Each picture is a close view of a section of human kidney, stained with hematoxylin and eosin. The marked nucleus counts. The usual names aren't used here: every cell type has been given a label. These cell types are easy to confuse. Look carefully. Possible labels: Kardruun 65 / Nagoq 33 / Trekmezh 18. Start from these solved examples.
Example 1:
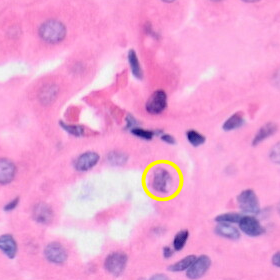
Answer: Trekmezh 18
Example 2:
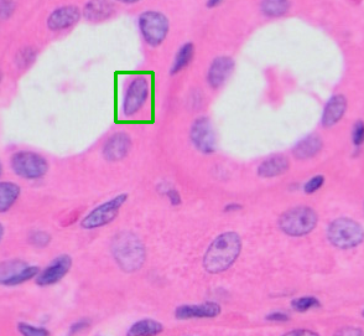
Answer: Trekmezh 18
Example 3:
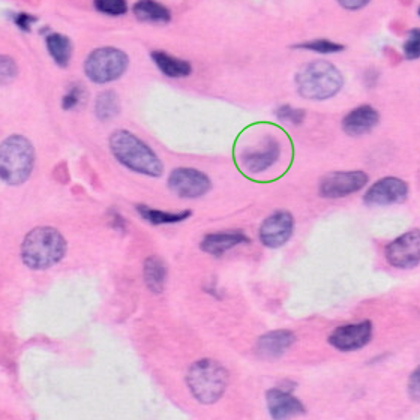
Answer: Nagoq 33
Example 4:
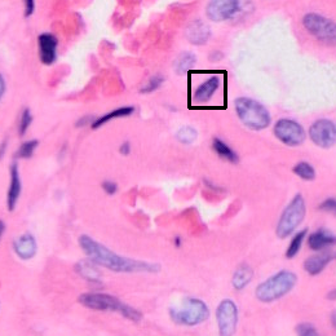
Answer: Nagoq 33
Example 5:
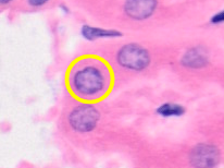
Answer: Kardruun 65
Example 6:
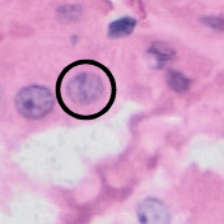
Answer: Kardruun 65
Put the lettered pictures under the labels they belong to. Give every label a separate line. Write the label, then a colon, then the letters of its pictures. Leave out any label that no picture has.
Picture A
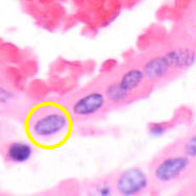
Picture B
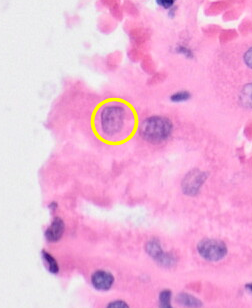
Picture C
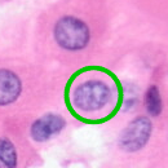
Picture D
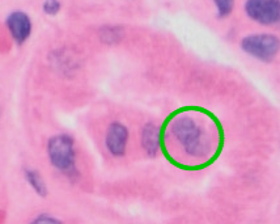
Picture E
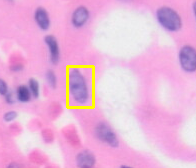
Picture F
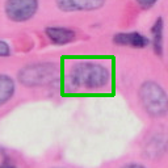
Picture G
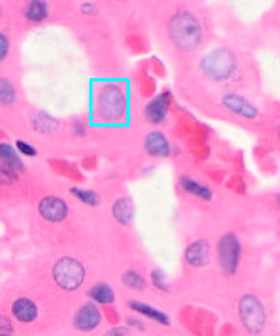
Kardruun 65: B, D
Nagoq 33: A, C, E, F
Trekmezh 18: G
